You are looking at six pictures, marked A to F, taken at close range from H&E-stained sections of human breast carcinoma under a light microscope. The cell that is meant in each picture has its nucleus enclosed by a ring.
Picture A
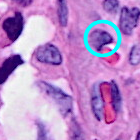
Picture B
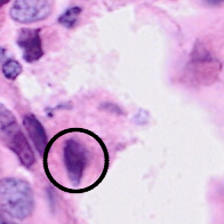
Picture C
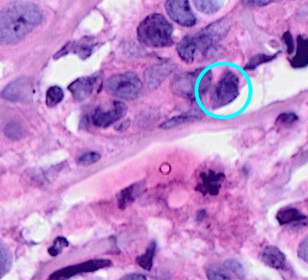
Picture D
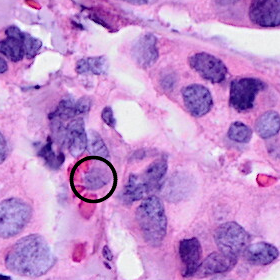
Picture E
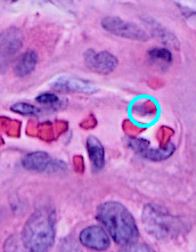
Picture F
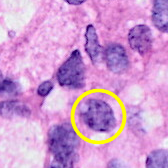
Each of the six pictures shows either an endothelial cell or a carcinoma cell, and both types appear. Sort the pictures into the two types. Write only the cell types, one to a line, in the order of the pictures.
endothelial cell
carcinoma cell
carcinoma cell
endothelial cell
endothelial cell
carcinoma cell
